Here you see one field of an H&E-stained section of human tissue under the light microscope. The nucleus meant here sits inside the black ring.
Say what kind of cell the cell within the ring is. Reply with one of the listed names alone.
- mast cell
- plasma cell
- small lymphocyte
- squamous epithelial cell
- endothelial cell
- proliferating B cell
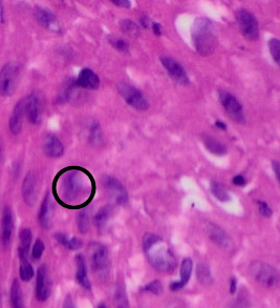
squamous epithelial cell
